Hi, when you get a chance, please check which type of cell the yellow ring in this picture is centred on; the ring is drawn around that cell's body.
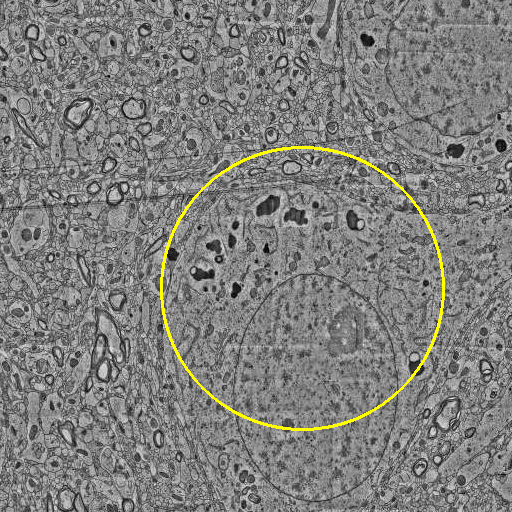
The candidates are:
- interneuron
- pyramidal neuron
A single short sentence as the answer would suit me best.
The ring is drawn around the body of a pyramidal neuron.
